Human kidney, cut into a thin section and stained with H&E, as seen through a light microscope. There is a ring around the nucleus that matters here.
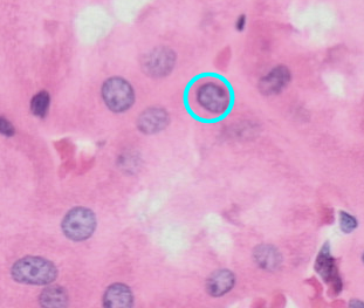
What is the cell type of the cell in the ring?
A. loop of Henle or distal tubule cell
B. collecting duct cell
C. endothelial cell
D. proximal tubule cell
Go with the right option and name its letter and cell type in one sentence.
Option D is the right one; the cell in the ring is a proximal tubule cell.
